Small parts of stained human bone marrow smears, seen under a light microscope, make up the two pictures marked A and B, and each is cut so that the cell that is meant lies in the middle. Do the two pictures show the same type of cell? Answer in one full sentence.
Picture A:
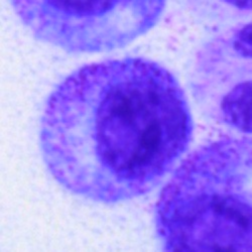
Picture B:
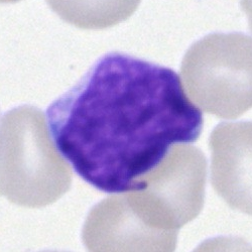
No; the cell in picture A is a myelocyte, while the one in picture B is a blast.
